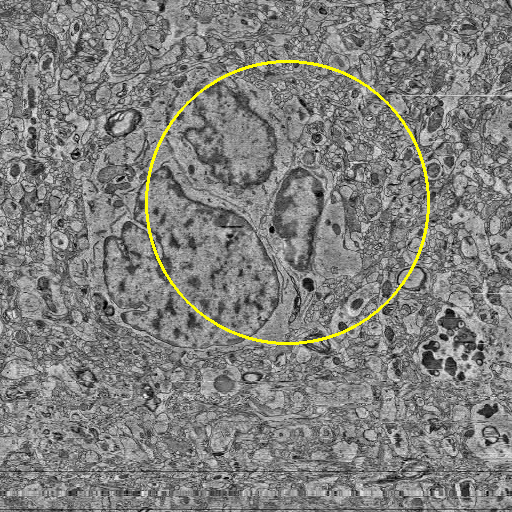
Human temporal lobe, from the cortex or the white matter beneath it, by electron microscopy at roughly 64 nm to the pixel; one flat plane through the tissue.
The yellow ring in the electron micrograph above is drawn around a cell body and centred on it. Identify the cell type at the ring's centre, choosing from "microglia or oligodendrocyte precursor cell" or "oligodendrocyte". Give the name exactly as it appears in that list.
microglia or oligodendrocyte precursor cell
